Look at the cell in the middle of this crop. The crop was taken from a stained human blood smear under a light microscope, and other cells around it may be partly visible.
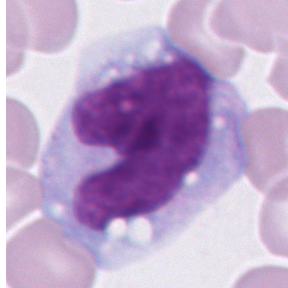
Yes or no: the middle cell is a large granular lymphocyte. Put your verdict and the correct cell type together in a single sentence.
No, it is a monocyte rather than a large granular lymphocyte that the middle of the crop contains.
